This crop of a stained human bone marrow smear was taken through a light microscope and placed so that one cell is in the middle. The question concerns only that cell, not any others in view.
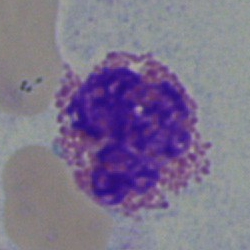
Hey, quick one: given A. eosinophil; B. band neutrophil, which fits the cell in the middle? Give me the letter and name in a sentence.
That cell in the center is an eosinophil, hence option A.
